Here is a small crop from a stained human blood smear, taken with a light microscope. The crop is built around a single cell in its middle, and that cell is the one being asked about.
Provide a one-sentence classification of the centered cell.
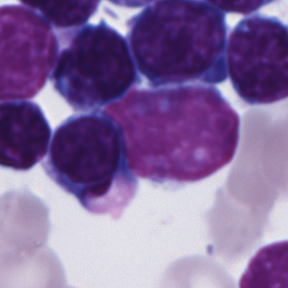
For this crop, the cell in the middle is a myeloblast.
